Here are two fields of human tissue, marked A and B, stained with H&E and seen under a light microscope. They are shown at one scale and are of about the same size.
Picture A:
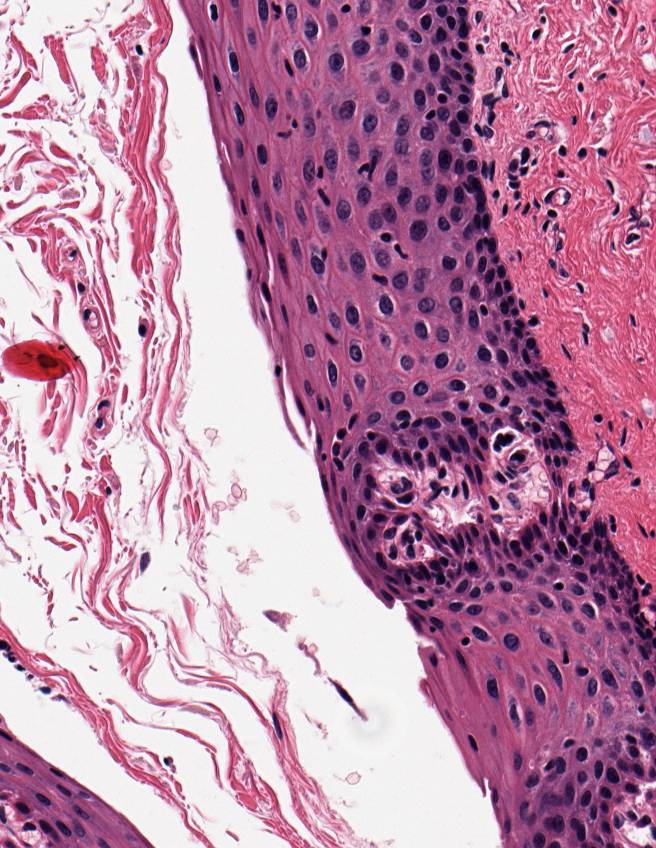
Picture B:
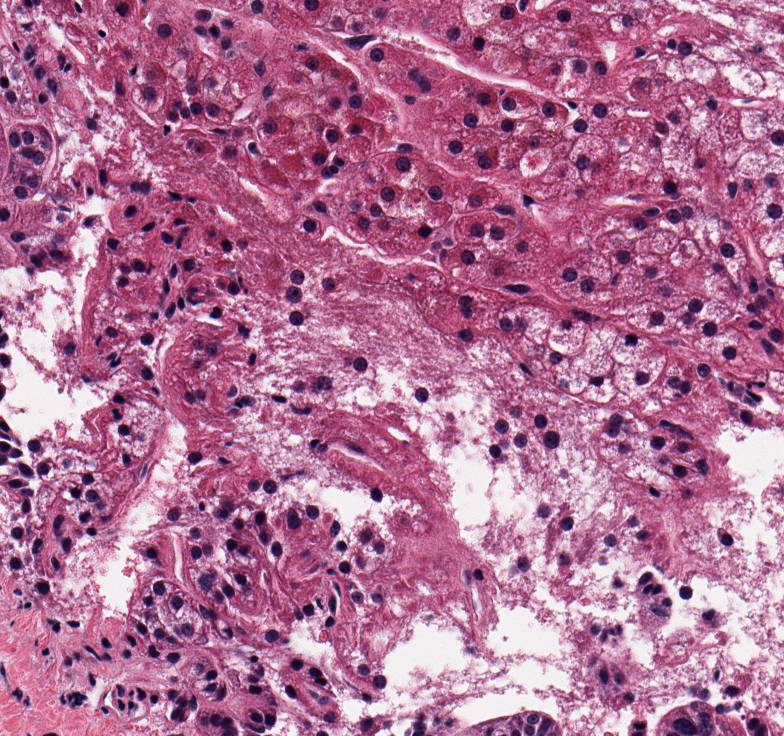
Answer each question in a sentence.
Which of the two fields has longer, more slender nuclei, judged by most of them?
On the whole the nuclei of picture A are more drawn out than those of picture B.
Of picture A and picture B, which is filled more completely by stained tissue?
It is picture B that stained tissue fills more completely.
